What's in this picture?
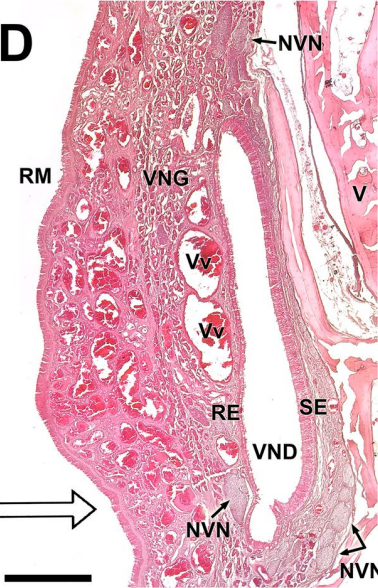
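This is a transverse section of the vomeronasal organ, with a dorsoventrally elongated duct and no surrounding cartilage. The medial wall of the duct carries a thick, pink sensory neuroepithelium, while the lateral wall is lined by a thinner respiratory epithelium. Lateral to the duct lies abundant glandular tissue with large blood-filled veins, beneath a respiratory mucosa. Nerve bundles appear in the dorsal and ventral parts of the organ, and the vomer bone lies to the medial side.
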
